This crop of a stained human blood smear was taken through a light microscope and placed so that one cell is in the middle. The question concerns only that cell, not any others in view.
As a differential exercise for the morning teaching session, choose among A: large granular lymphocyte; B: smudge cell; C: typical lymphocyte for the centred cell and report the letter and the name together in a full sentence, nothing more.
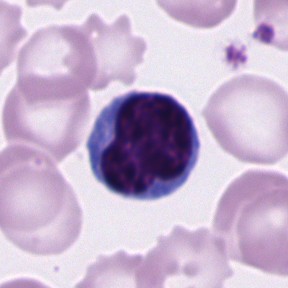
Of the options given, C is correct, the central cell being a typical lymphocyte.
